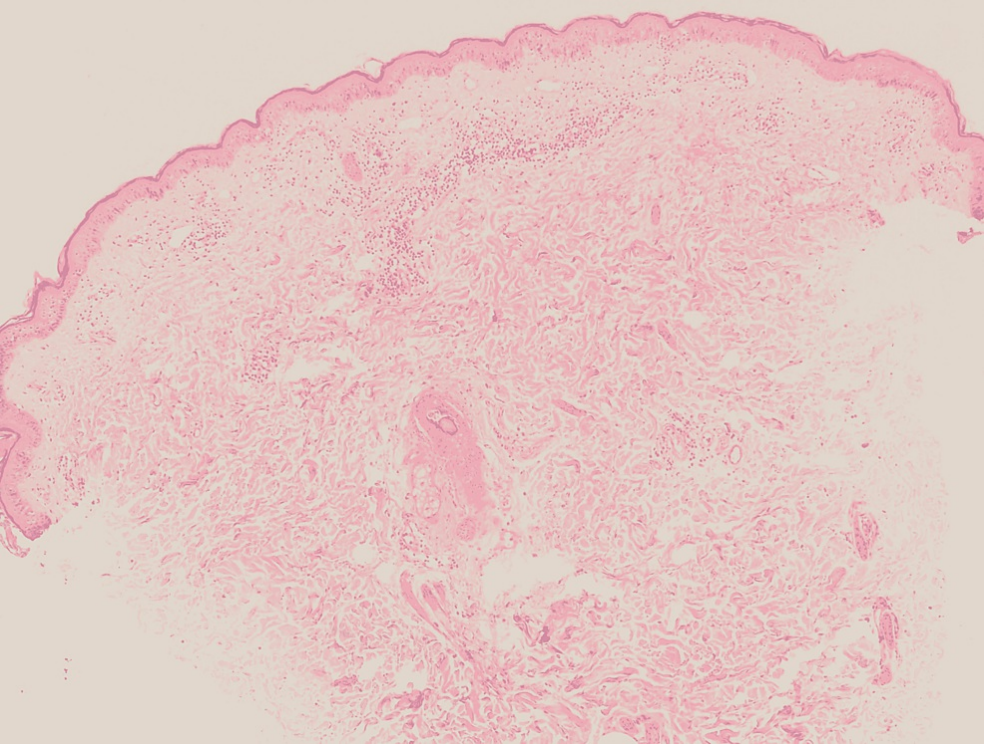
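This is a low-power view of skin, with a thin stratified squamous epidermis forming the curved upper edge and a broad dermis beneath it. The epidermis is narrow and stains a deeper pink than the tissue below it. The dermis is made of pale pink, wavy collagen bundles that become looser toward the deep part of the specimen. In the upper dermis, clusters of small, dark, round nuclei of inflammatory cells gather in bands and patches around small vessels, while the deeper dermis holds far fewer of them. Near the middle of the field lies a small, more compact pink structure, probably a vessel or an adnexal structure, surrounded by connective tissue.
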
